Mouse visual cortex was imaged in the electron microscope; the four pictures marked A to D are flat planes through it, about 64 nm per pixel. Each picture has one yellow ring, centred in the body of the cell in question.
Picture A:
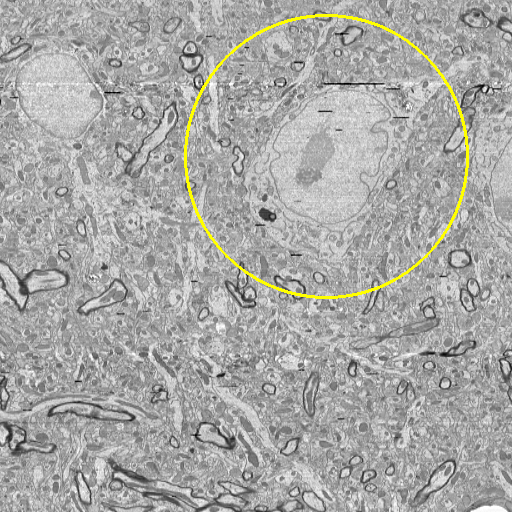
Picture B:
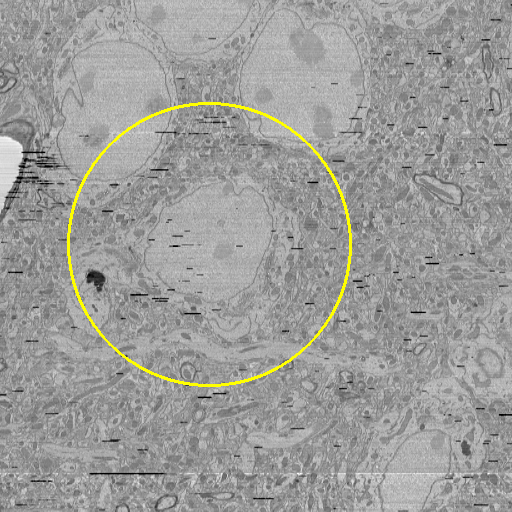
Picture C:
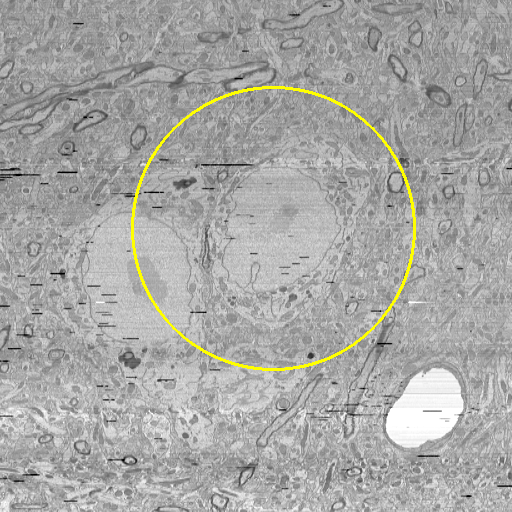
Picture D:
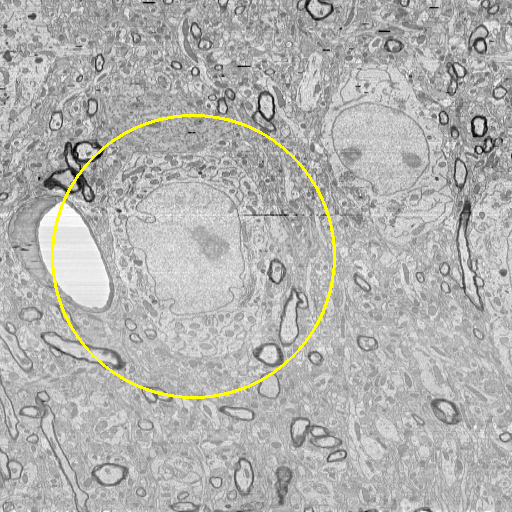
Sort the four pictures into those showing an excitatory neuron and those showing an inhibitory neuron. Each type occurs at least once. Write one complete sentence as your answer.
Picture B shows an excitatory neuron, and pictures A, C and D show inhibitory neurons.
